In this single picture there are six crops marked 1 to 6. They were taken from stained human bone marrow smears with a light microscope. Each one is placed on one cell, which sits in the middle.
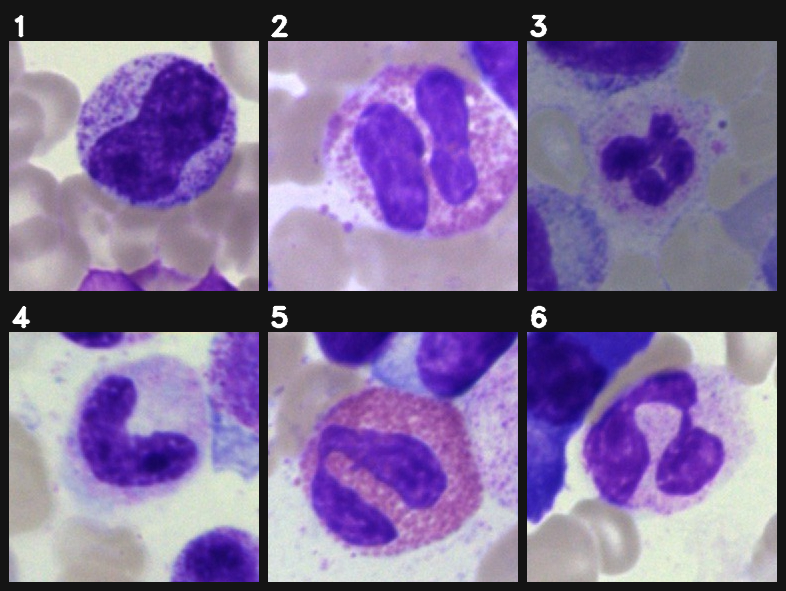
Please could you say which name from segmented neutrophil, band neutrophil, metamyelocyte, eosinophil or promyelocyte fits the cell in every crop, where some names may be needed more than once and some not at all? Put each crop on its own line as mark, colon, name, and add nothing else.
1: metamyelocyte
2: eosinophil
3: segmented neutrophil
4: band neutrophil
5: eosinophil
6: segmented neutrophil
